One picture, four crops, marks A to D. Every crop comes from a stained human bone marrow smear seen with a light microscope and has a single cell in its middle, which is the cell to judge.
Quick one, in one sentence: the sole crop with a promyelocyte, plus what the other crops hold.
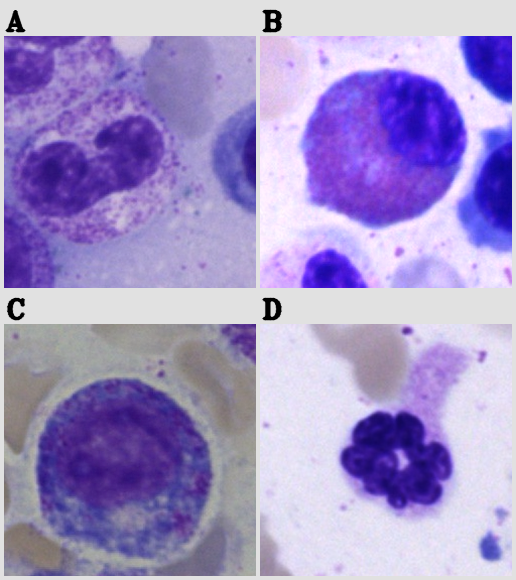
Crop C is identified as a promyelocyte, whereas crop A is a band neutrophil, crop B is an eosinophil and crop D is a segmented neutrophil.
